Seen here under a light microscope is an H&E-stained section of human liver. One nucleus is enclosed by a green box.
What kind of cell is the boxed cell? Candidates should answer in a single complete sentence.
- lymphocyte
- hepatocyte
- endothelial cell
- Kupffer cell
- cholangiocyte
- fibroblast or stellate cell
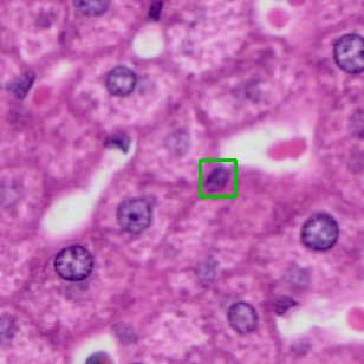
Speaking plainly, the boxed cell is nothing other than a fibroblast or stellate cell.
